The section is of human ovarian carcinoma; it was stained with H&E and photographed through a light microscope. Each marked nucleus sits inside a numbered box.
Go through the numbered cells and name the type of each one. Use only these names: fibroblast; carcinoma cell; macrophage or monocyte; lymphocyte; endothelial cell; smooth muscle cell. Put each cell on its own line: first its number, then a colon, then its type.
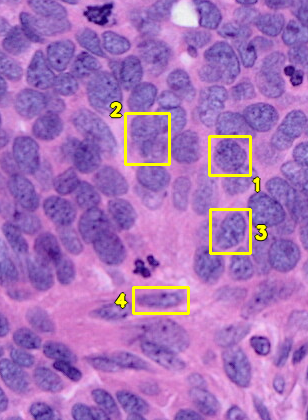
1: carcinoma cell
2: carcinoma cell
3: carcinoma cell
4: fibroblast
